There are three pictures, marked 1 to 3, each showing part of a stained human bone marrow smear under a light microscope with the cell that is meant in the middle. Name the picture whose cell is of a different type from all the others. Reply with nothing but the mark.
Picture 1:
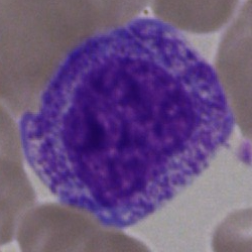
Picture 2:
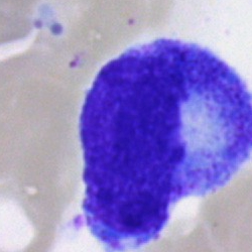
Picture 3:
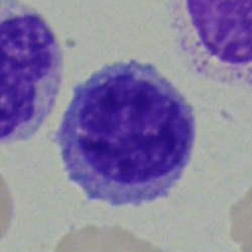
3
